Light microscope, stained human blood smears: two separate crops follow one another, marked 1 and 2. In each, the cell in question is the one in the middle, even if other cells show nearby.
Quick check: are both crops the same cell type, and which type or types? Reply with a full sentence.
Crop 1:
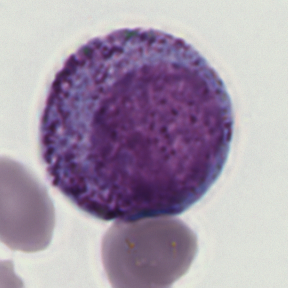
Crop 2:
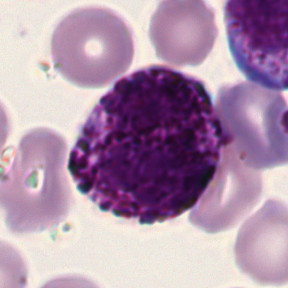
No, crop 1 shows a promyelocyte, with a basophil shown in crop 2.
